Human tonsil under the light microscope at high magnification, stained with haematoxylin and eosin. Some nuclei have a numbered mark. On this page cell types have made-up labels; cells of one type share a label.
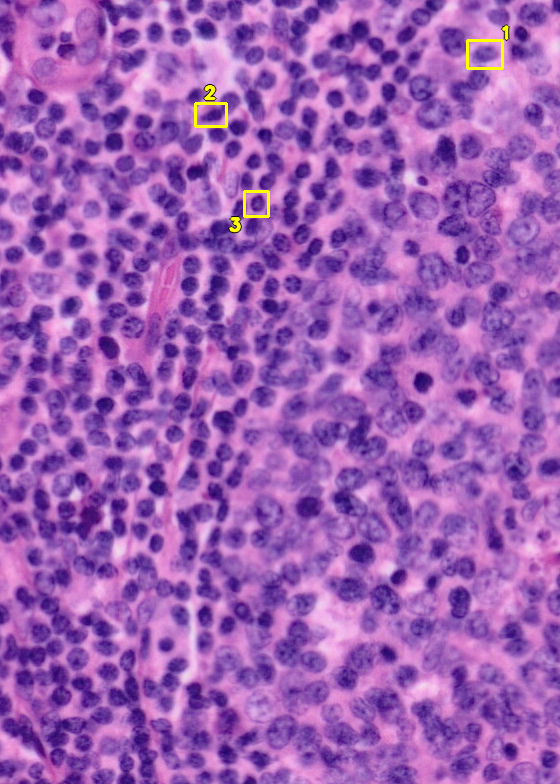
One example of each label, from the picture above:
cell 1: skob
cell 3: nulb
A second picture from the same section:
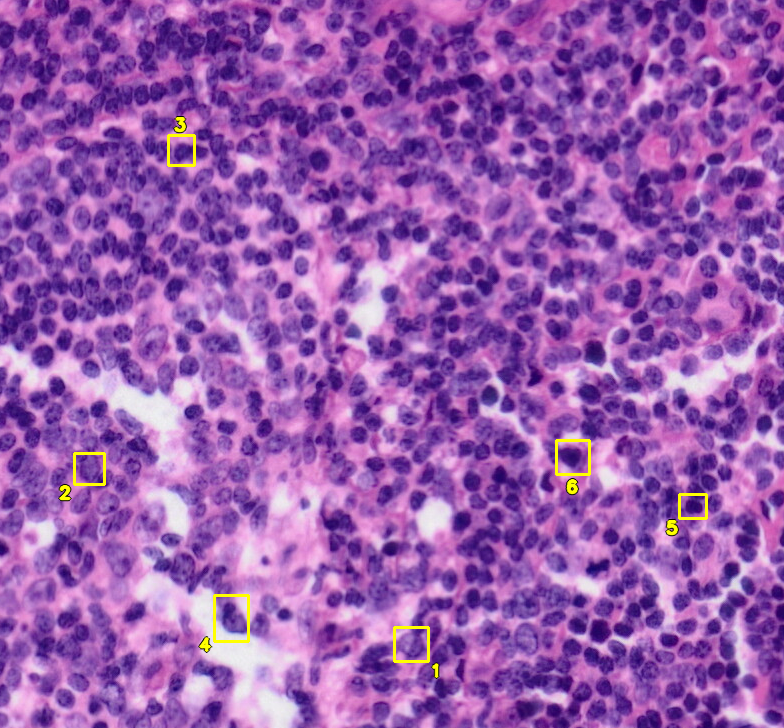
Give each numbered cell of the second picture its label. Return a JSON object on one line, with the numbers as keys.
{"1": "skob", "2": "skob", "3": "nulb", "4": "skob", "5": "nulb", "6": "skob"}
